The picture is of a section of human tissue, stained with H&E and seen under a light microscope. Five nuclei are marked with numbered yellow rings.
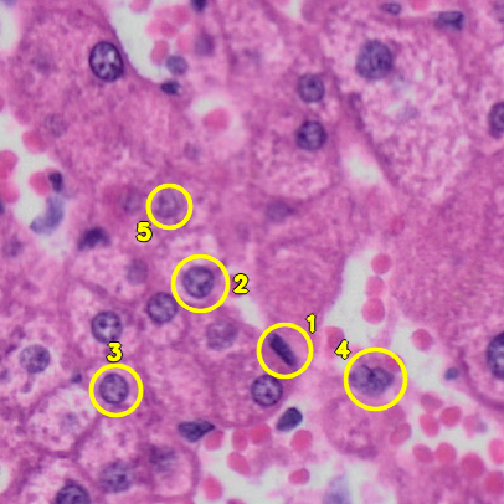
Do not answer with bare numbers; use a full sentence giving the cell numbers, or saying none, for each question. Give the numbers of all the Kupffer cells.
Cell 4 is a Kupffer cell, and it is the only numbered cell that is.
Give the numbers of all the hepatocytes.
The cells numbered 2, 3 and 5 are identified as hepatocytes.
